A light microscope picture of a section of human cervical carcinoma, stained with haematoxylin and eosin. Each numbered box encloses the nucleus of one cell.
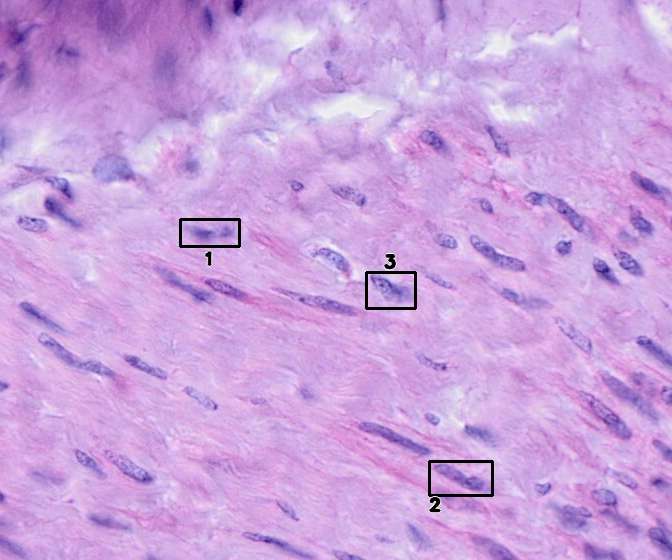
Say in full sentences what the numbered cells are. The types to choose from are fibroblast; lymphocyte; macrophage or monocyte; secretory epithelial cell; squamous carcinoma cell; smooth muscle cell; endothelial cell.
Cell 1 is a fibroblast, cell 2 is a smooth muscle cell and cell 3 is a fibroblast.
